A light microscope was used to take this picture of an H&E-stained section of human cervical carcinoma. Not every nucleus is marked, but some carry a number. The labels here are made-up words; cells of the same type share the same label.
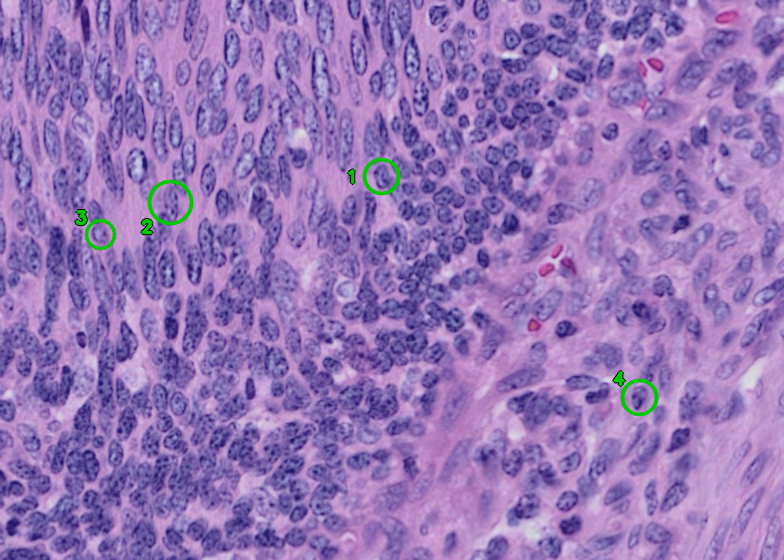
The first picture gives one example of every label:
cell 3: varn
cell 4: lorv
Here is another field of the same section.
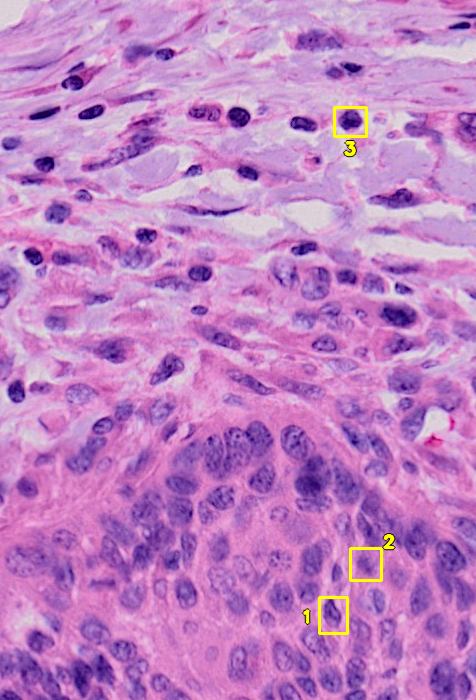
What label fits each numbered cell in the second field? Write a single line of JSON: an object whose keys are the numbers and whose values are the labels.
{"1": "varn", "2": "varn", "3": "lorv"}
